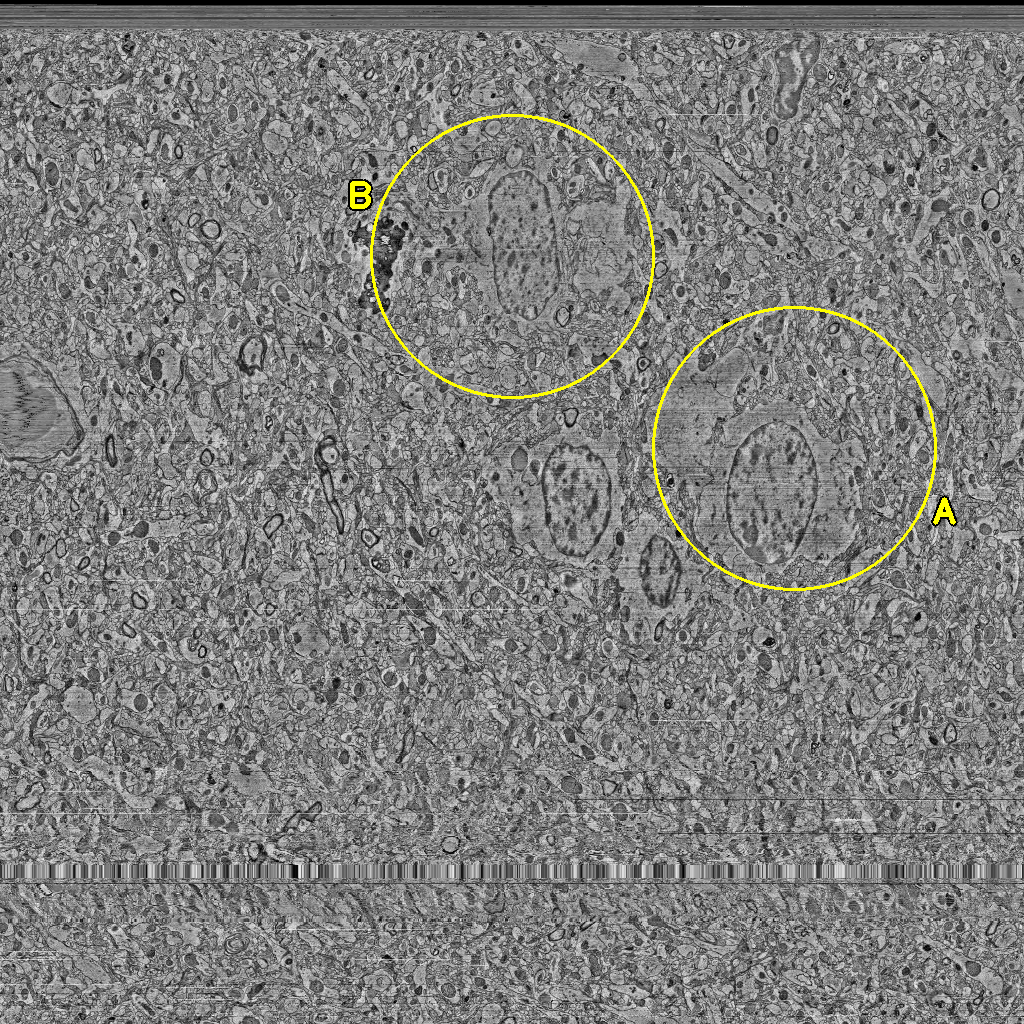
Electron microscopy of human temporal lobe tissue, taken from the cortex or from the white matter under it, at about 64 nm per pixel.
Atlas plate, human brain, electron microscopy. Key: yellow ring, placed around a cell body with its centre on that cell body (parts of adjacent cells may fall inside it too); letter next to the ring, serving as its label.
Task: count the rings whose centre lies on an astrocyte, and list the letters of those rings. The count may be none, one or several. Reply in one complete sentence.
Each of two rings is centred on an astrocyte, these being the rings with the letters A and B.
